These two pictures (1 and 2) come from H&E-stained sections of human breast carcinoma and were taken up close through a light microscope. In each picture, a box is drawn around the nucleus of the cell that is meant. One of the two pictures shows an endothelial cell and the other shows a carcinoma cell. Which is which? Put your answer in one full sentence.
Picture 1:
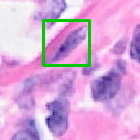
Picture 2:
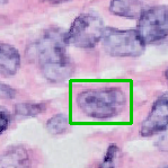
Picture 1 shows an endothelial cell and picture 2 shows a carcinoma cell.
